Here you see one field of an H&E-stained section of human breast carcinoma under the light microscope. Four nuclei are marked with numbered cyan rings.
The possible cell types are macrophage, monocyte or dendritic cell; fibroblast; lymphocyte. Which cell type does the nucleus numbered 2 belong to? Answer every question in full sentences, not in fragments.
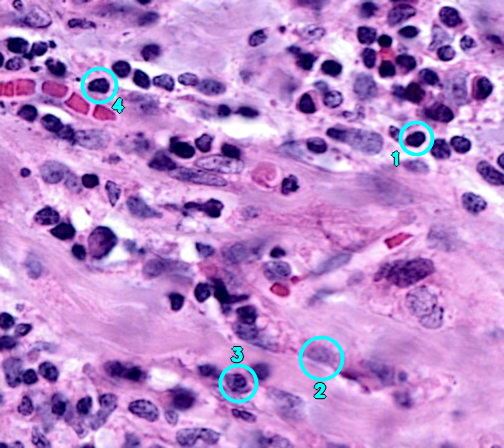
Cell 2 is classified as a fibroblast.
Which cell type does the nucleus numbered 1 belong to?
The correct label for cell 1 is a lymphocyte.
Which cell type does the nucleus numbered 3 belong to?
In the marked set, the cell given number 3 is a lymphocyte.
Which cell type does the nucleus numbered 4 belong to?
Number 4 among the marked cells is a lymphocyte.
